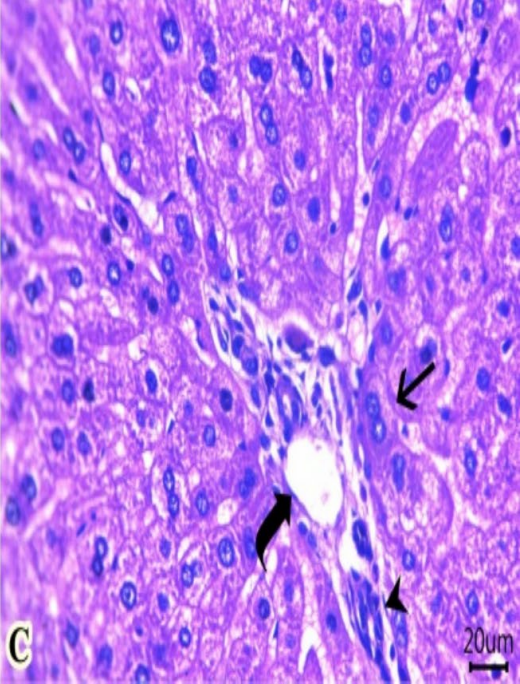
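This is liver tissue with cords of polygonal liver cells surrounding a small portal area with a vessel whose lumen is empty and white. The liver cells have pink granular cytoplasm and round nuclei with nucleoli, and a number of them contain two nuclei. The connective tissue around the vessel holds many small cells with dark, elongated nuclei, among which lies a small bile duct.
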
